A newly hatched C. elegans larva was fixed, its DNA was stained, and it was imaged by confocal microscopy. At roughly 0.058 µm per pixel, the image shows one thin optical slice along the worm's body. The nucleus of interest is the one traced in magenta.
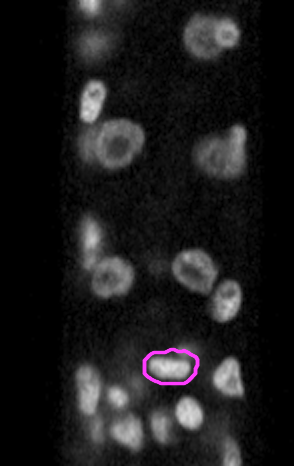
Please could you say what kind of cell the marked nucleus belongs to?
valve cell of the gut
